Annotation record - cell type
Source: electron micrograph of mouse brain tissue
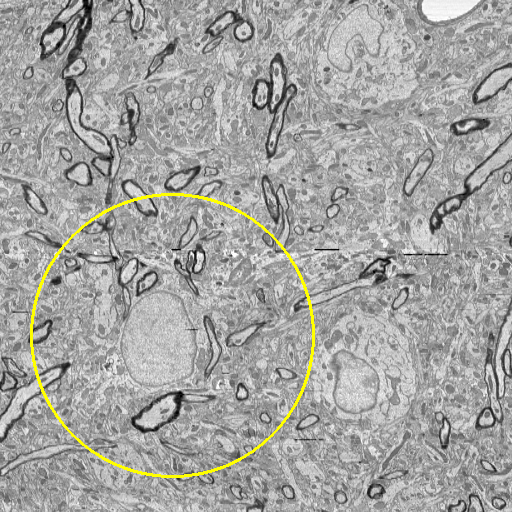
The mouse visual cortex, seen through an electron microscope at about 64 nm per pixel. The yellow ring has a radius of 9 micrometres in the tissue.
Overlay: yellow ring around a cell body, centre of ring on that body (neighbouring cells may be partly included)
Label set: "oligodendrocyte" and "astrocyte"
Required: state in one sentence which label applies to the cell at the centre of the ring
This cell should be labelled as an astrocyte.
